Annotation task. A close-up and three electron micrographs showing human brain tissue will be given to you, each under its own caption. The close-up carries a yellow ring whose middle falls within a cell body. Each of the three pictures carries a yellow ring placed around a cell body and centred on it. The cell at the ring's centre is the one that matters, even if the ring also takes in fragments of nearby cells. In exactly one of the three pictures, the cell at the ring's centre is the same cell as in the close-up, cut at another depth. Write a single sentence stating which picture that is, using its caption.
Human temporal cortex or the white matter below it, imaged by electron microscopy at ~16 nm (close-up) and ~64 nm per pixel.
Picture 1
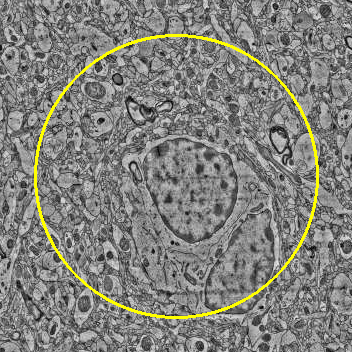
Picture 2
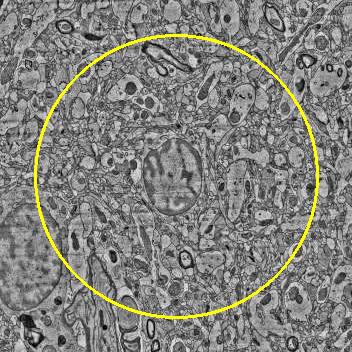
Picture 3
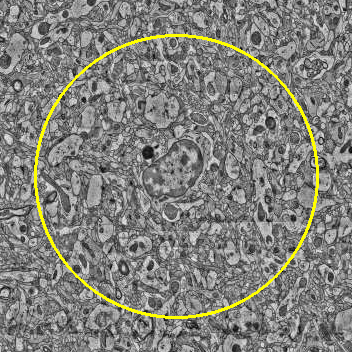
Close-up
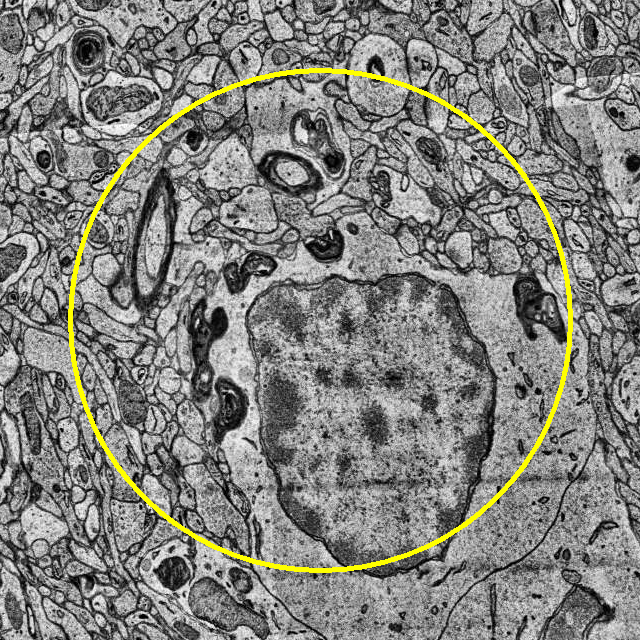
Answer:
The cell seen up close is the one ringed within Picture 1.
